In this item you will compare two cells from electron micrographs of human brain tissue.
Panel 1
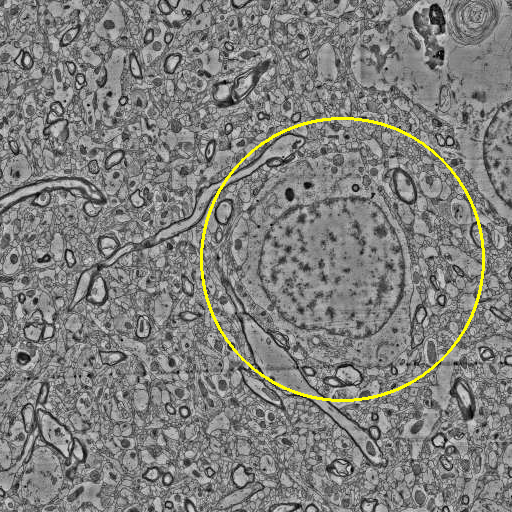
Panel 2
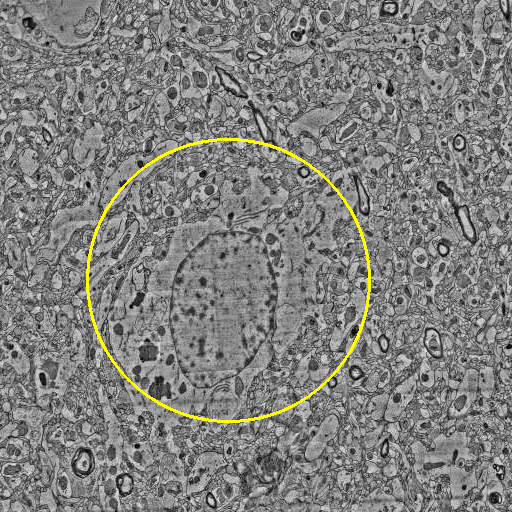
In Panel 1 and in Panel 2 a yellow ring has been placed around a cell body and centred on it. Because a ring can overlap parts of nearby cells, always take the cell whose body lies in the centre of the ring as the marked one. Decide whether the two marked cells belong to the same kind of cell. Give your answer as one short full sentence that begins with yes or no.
No, the two marked cells belong to two kinds of cell.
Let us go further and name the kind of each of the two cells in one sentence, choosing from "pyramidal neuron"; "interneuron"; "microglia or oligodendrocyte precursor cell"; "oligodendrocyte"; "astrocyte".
The ring of the first picture is on an interneuron, the ring of the second on an astrocyte.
